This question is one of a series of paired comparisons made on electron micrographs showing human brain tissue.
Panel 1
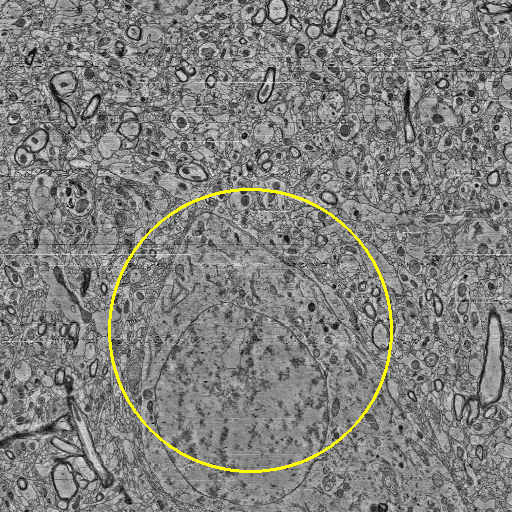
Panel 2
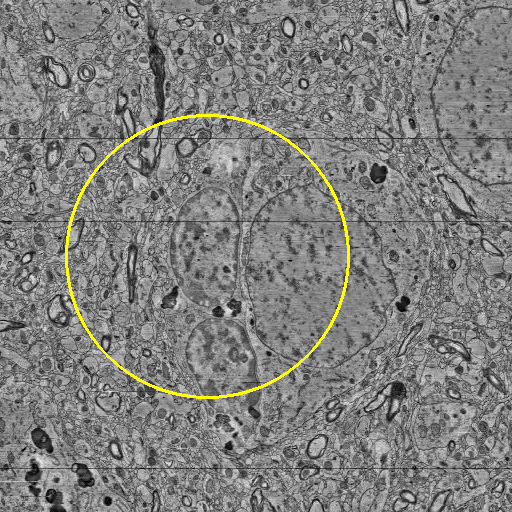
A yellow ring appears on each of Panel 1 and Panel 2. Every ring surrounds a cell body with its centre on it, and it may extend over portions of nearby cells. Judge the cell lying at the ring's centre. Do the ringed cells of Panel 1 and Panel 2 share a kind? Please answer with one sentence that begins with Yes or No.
No, the ring-centre cell in Panel 1 and the one in Panel 2 are of two kinds.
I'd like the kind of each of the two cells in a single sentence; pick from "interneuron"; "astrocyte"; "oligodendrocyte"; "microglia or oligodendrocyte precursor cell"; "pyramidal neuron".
The first ring marks a pyramidal neuron, and the second ring marks an oligodendrocyte.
